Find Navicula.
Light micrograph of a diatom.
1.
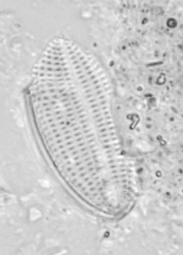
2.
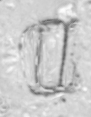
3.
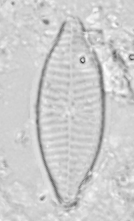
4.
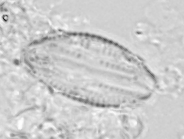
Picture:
3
